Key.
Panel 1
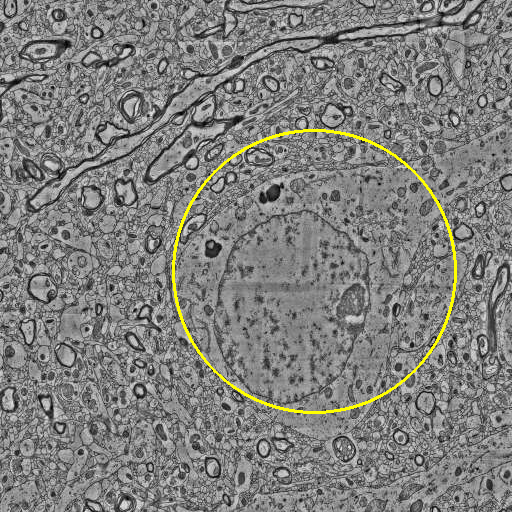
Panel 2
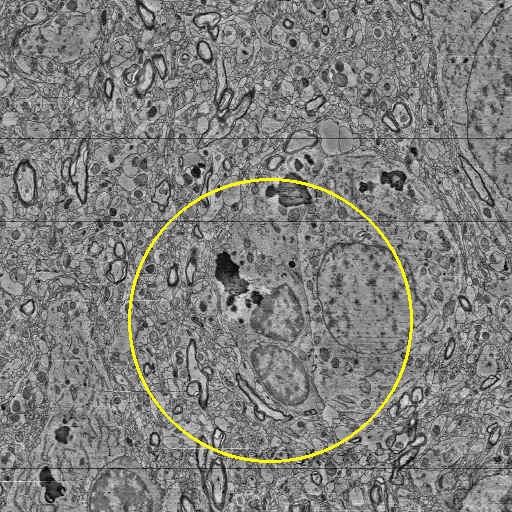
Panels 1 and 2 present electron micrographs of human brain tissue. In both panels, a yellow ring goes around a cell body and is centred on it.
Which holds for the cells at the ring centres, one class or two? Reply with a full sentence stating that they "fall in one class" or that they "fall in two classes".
Taken together, the ring-centre cells of the two panels fall in two classes.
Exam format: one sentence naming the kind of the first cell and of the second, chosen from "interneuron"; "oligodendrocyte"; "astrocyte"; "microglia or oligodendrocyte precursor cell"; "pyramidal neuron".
The first picture's cell is a pyramidal neuron, and the second picture's cell is an oligodendrocyte.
